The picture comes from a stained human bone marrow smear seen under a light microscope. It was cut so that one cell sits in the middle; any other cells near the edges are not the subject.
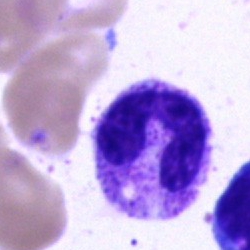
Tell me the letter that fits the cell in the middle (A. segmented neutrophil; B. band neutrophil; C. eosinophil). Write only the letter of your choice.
B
